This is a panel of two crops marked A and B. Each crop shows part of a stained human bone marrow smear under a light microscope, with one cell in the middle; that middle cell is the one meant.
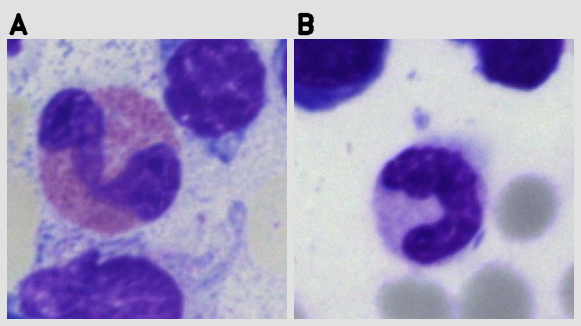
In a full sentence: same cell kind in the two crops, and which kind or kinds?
No, record crop A as an eosinophil and crop B as a neutrophil.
